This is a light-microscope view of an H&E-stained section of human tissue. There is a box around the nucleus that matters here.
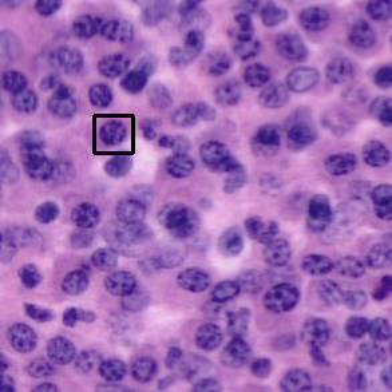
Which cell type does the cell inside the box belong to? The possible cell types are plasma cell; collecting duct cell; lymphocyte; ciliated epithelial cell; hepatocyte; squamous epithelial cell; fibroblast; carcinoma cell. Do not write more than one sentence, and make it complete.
It is as a plasma cell that the cell inside the box is classified.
